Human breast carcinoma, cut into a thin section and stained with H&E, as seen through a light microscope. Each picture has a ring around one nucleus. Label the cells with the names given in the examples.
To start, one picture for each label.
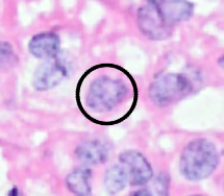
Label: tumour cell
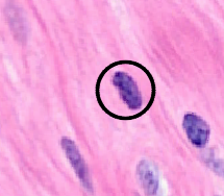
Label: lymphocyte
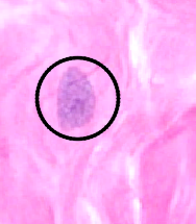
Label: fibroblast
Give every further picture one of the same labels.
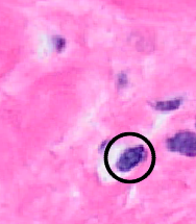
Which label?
lymphocyte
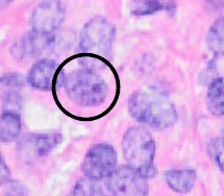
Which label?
tumour cell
